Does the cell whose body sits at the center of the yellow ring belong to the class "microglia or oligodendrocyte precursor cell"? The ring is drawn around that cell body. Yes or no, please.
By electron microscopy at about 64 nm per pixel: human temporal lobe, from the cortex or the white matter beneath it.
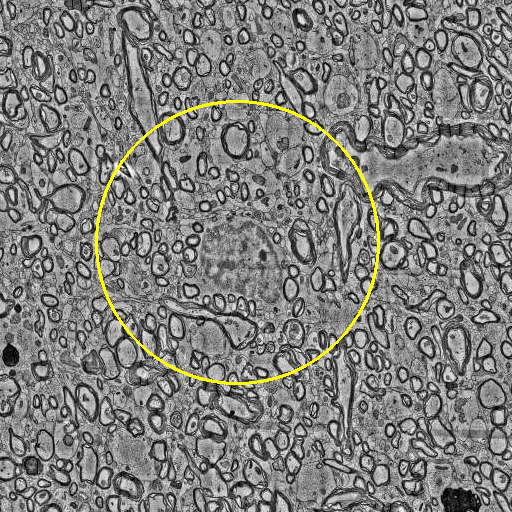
No, it belongs to another class.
